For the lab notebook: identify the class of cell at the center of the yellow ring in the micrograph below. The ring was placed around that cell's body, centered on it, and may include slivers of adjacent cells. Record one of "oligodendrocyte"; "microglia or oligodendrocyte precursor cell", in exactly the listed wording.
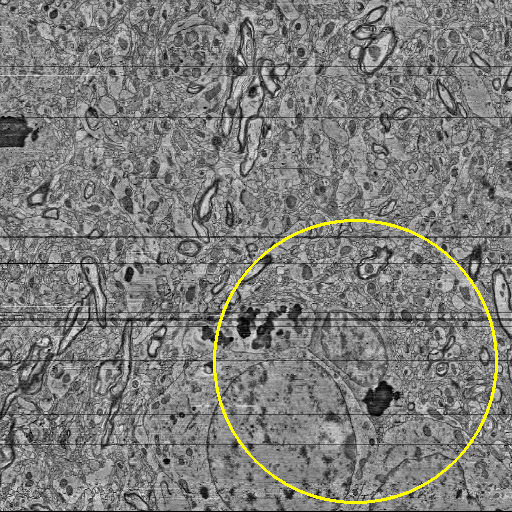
oligodendrocyte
